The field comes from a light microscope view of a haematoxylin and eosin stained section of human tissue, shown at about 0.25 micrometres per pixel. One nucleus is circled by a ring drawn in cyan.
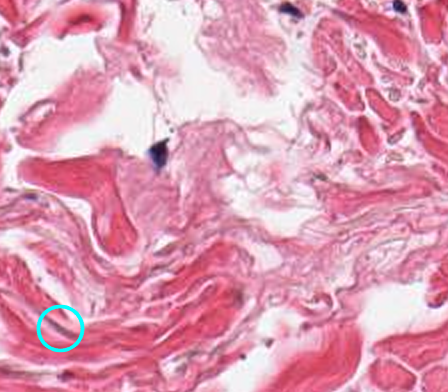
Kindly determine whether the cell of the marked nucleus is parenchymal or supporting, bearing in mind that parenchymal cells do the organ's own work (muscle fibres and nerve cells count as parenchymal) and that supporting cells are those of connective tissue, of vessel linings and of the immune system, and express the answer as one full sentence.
The marked nucleus is attributed to a supporting cell.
